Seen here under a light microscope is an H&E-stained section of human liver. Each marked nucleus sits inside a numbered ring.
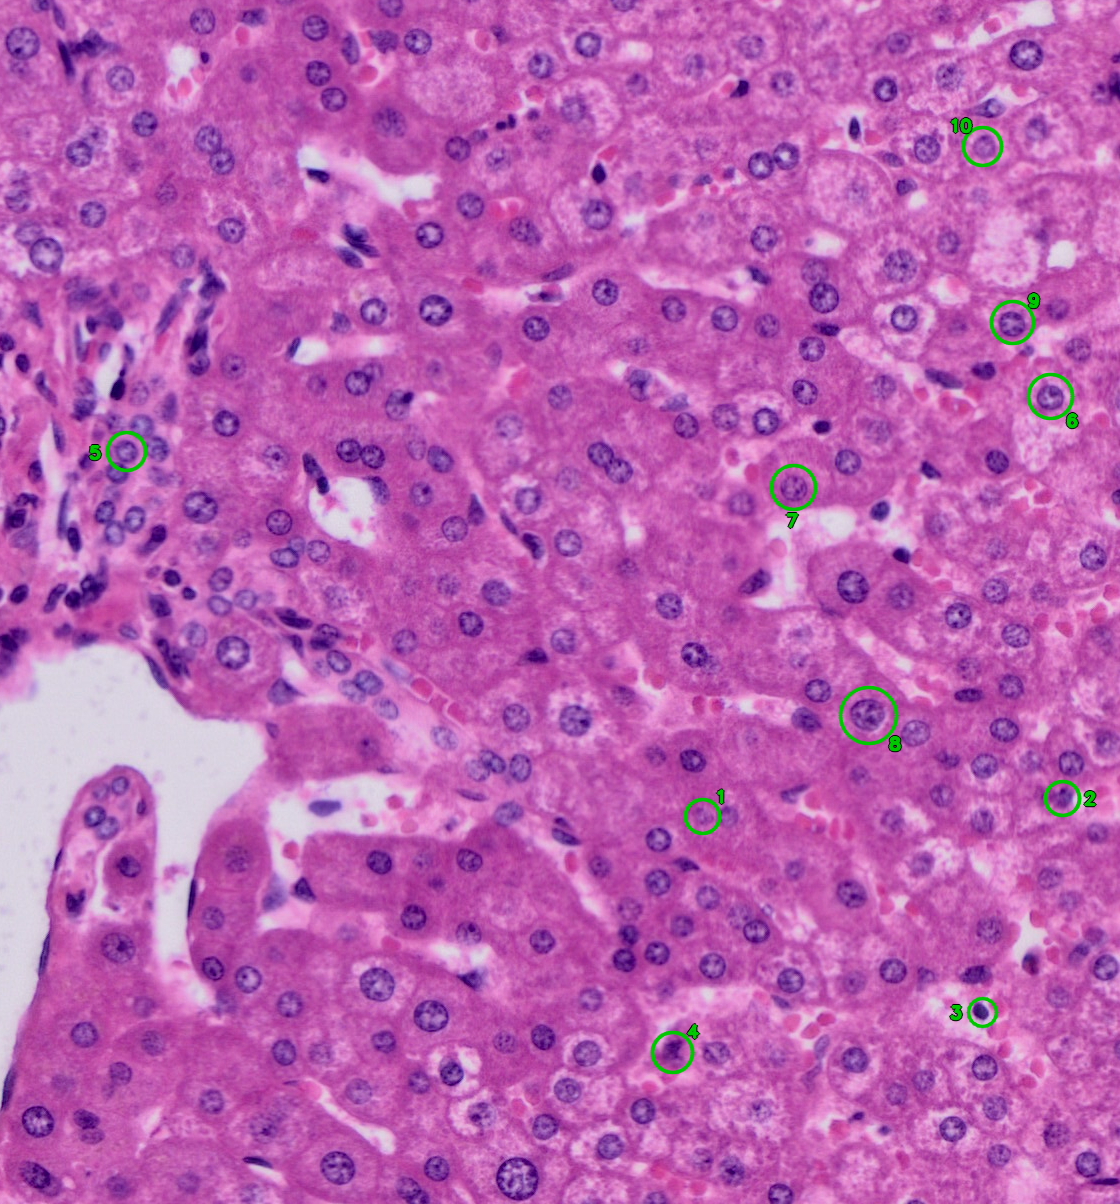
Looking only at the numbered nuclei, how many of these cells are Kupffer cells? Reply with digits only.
1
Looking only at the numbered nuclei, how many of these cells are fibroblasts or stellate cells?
1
